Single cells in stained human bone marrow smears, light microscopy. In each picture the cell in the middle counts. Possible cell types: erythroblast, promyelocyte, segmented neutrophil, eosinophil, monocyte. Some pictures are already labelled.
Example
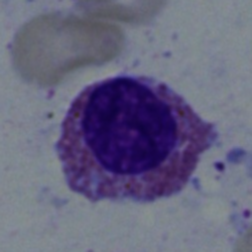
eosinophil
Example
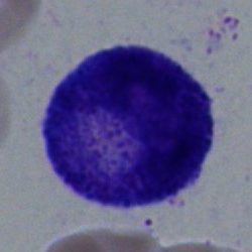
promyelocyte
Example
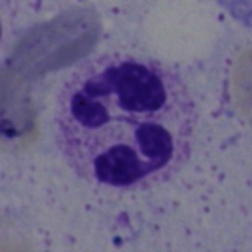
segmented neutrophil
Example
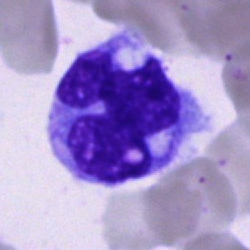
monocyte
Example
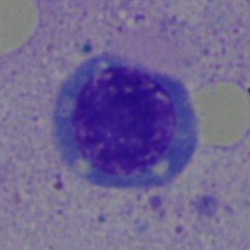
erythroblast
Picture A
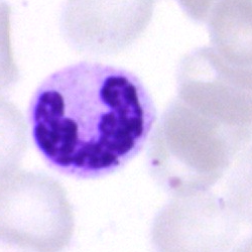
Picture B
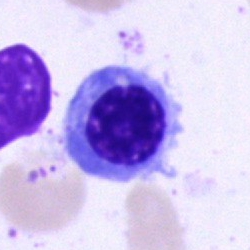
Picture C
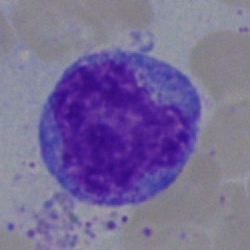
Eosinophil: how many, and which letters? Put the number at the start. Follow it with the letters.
0, none of them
